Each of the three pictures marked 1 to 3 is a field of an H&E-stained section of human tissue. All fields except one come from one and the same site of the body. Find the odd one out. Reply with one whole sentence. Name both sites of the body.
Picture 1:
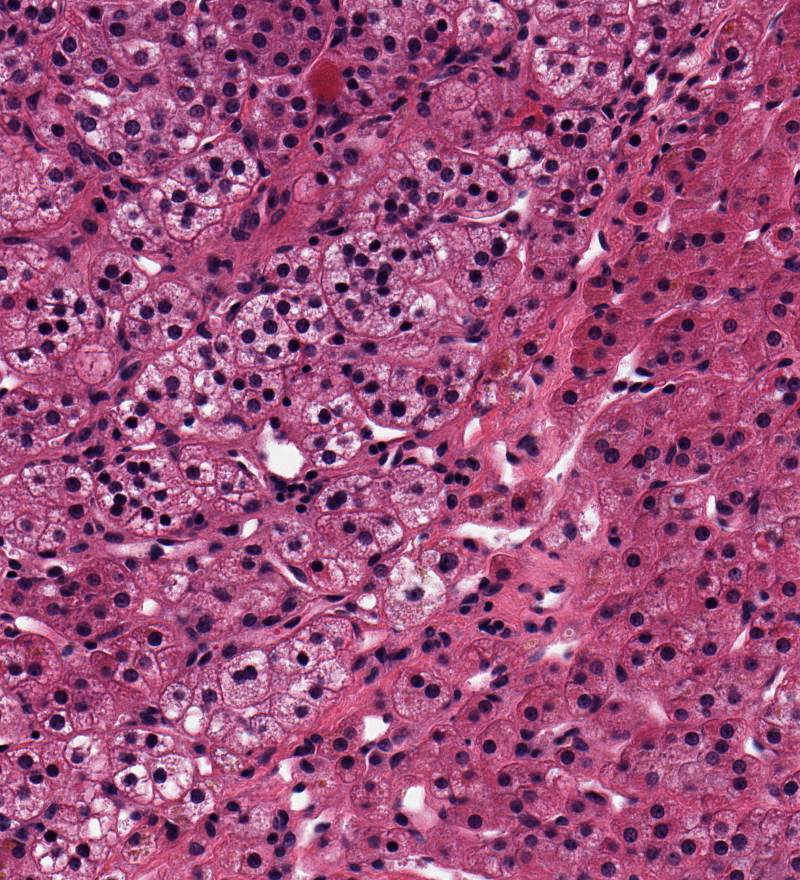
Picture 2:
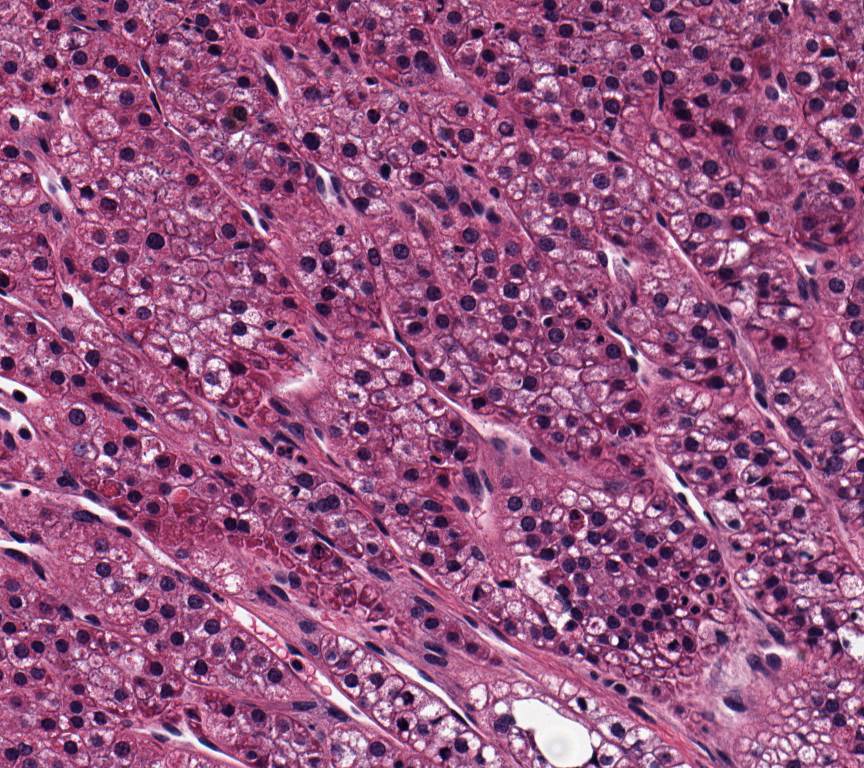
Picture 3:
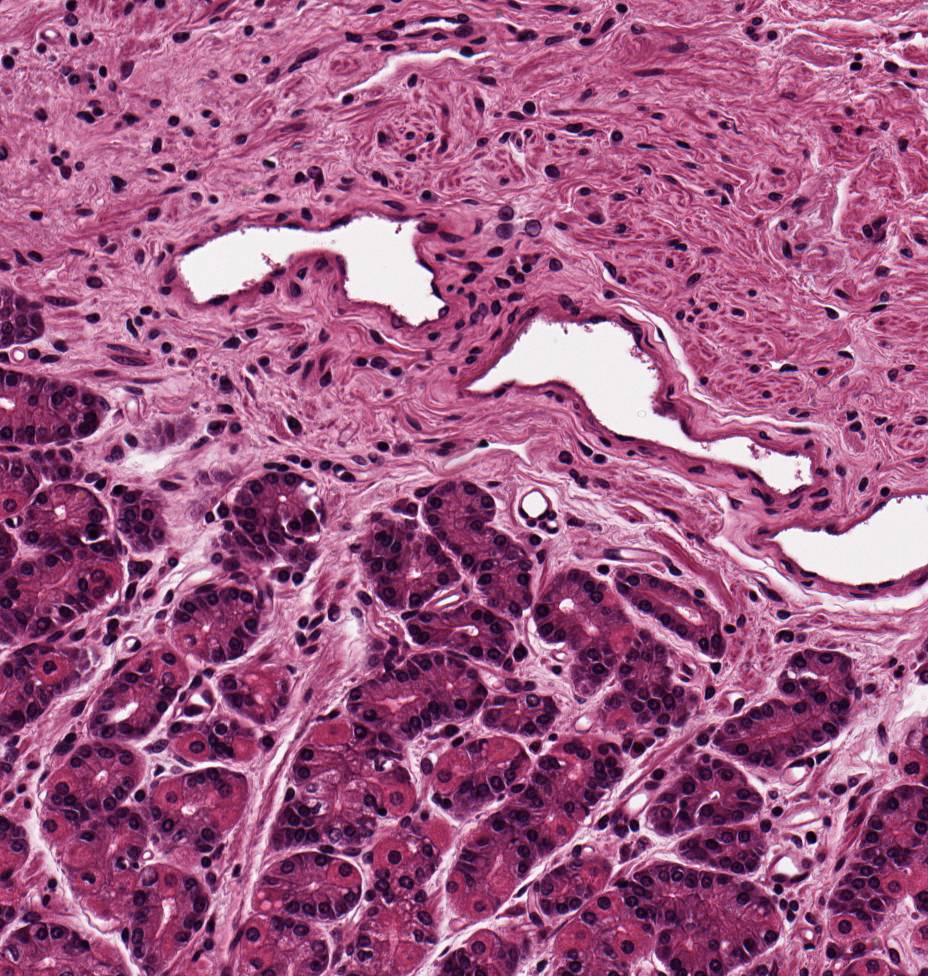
Unlike the rest, which come from the adrenal gland, picture 3 comes from the stomach.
